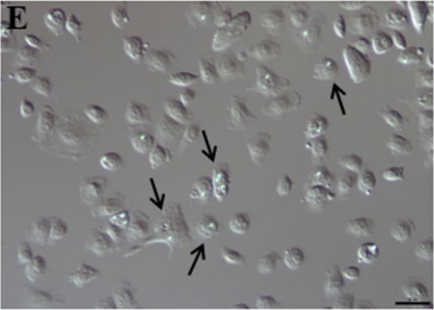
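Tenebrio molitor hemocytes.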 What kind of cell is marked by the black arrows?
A: Phagocytes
